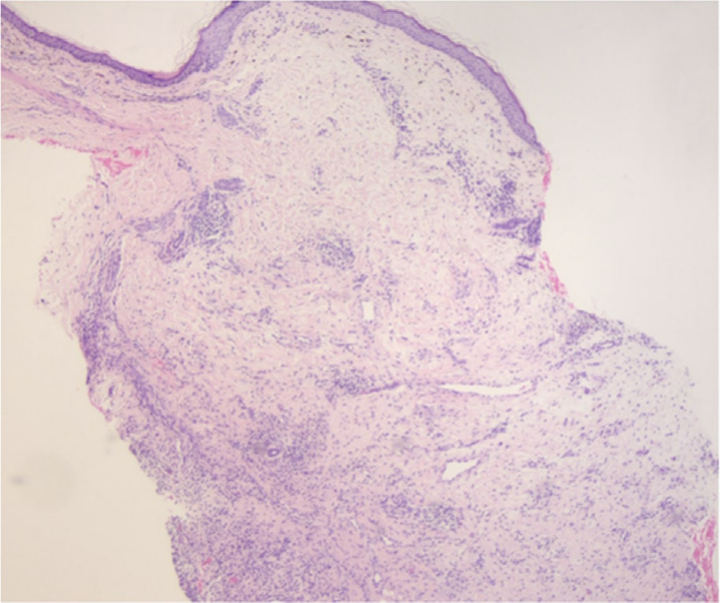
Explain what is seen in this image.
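This is a low-power view of skin with a thin layer of epidermis along the top surface and a thick dermis below. The infiltrate is most pronounced in the deeper part of the specimen and forms clusters around small vessels. At this magnification the individual kinds of inflammatory cells cannot be separated, but the densely cellular patches stand out clearly against the paler fibrous stroma.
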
